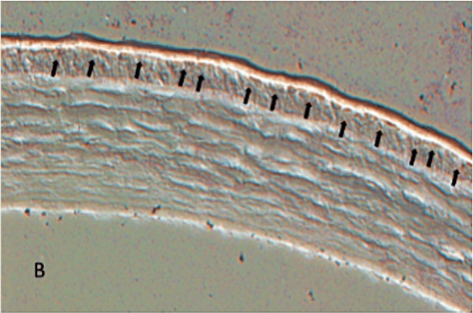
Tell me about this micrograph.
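A curved section of cornea is shown, with a granular, cellular epithelial band along the outer convex surface marked by a row of small arrows. Below the epithelium lies a stroma of stacked, wavy parallel lamellae. The overall layering of the cornea appears intact.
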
